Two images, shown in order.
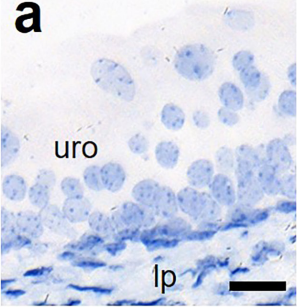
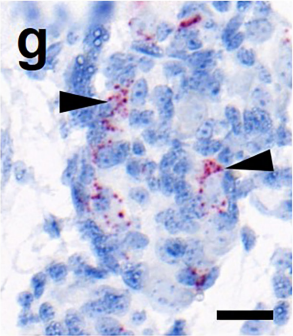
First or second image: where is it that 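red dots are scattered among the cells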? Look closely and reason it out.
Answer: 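Second image: many red dots clustered in several cell bodies. First image: blue nuclei only, no red dots.
Answer: the second image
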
